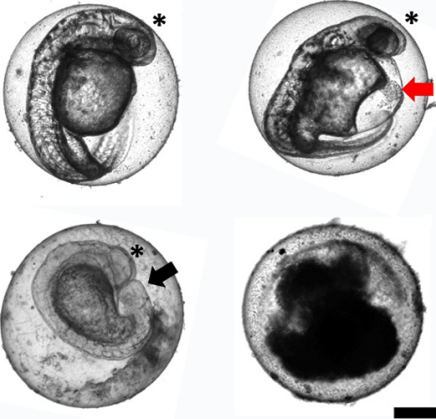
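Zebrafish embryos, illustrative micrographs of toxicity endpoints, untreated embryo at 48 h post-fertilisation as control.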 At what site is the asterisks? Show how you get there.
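The head area. Each asterisk sits beside the rounded anterior end of a curled embryo inside its chorion. An eye-like rounded structure lies near each asterisk.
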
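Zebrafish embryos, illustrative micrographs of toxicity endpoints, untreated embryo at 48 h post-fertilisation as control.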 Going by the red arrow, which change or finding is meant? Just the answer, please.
Yolk and heart oedema.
